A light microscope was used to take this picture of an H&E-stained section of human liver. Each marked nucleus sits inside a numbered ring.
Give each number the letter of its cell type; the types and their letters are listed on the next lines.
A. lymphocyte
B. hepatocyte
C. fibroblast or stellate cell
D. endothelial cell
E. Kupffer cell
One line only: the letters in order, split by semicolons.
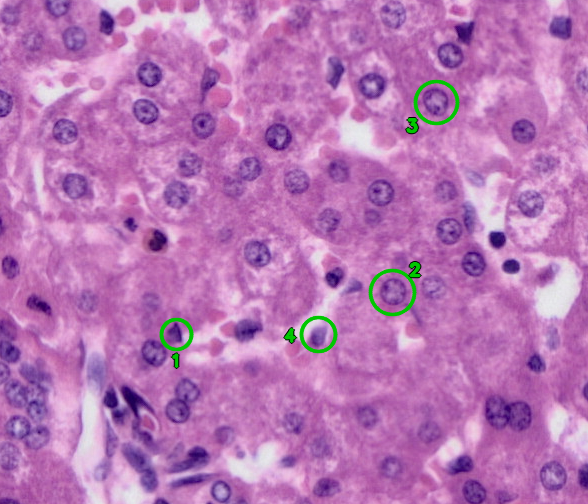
C; B; B; E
